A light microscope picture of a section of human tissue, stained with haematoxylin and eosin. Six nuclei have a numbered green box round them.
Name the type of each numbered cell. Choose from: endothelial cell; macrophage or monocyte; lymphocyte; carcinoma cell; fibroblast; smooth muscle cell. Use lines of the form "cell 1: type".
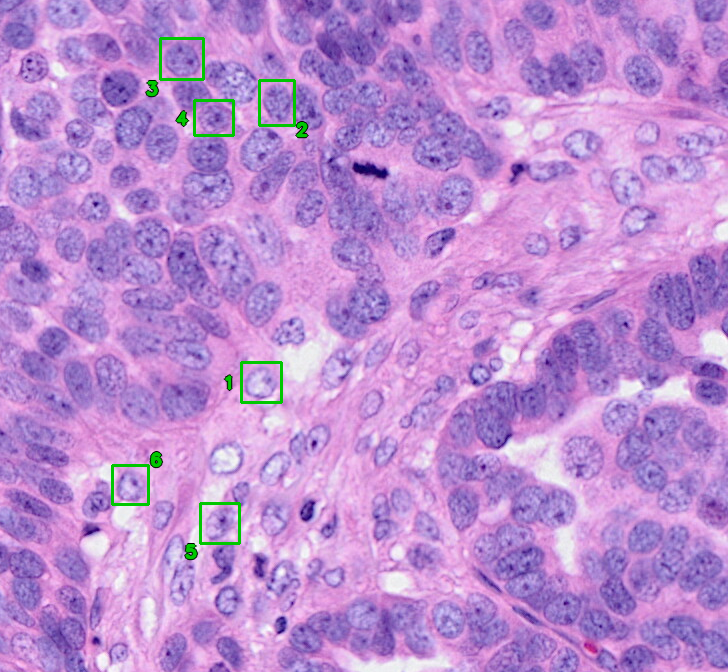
cell 1: fibroblast
cell 2: carcinoma cell
cell 3: carcinoma cell
cell 4: carcinoma cell
cell 5: fibroblast
cell 6: fibroblast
